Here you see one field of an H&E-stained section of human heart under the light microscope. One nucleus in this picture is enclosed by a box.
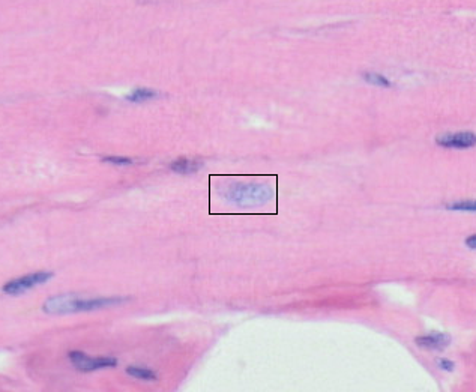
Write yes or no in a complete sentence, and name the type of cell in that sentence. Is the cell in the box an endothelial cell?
No, the cell in the box is described as a cardiomyocyte and not as an endothelial cell.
